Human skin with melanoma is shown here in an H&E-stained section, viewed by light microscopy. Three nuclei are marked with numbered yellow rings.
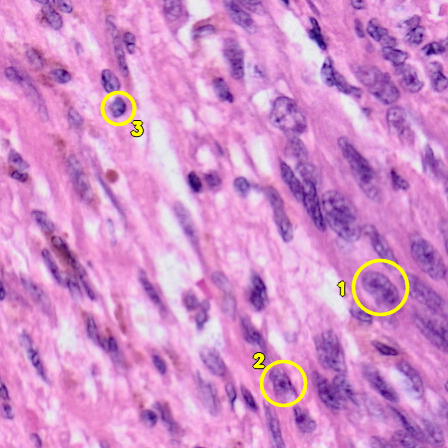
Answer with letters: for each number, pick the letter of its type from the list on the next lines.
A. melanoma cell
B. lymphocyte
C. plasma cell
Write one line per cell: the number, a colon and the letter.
1: A
2: A
3: B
